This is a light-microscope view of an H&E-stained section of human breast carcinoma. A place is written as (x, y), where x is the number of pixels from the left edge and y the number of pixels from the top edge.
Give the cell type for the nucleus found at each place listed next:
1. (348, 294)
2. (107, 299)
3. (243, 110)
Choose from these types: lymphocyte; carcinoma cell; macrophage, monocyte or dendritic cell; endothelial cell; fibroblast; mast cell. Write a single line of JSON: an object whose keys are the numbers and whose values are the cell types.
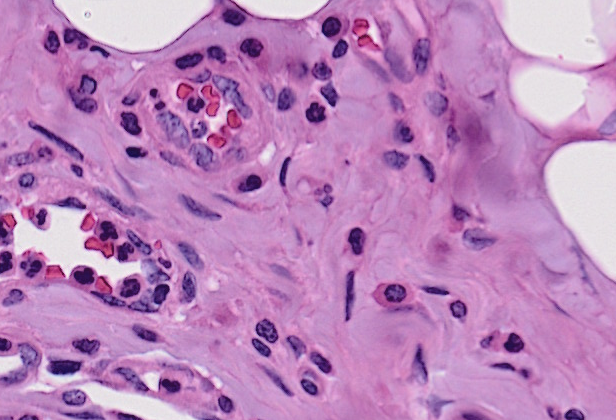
{"1": "fibroblast", "2": "endothelial cell", "3": "endothelial cell"}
